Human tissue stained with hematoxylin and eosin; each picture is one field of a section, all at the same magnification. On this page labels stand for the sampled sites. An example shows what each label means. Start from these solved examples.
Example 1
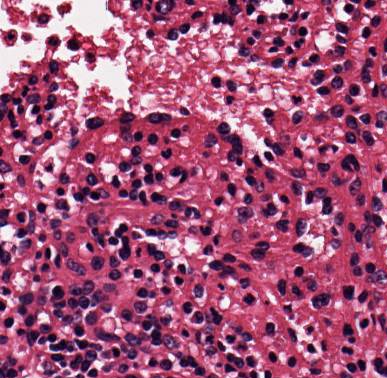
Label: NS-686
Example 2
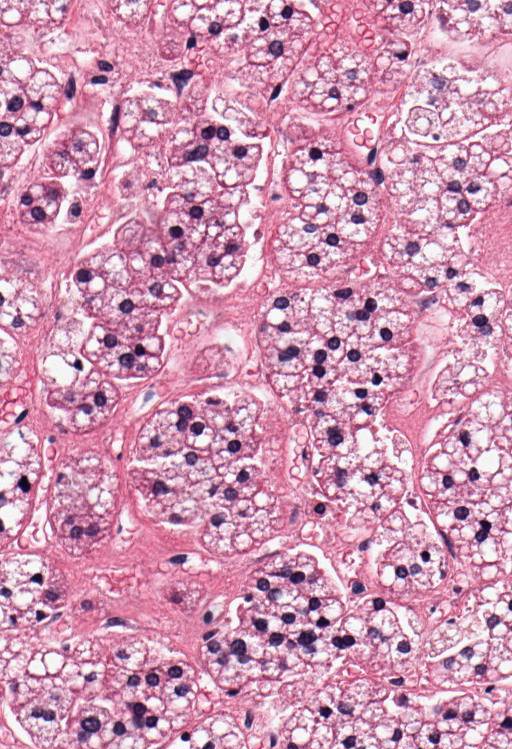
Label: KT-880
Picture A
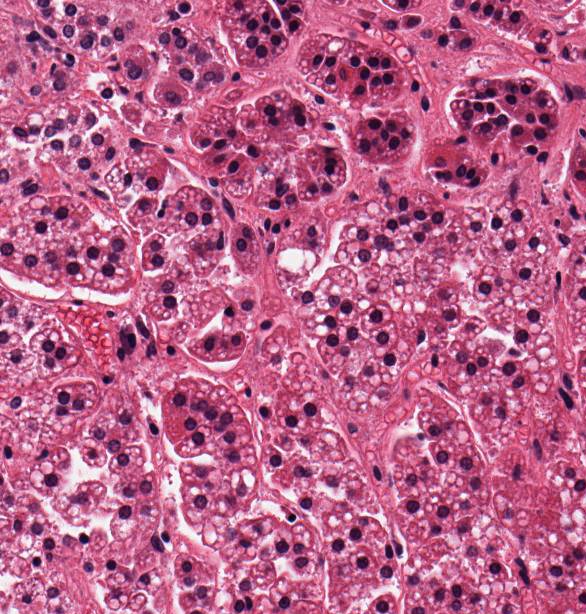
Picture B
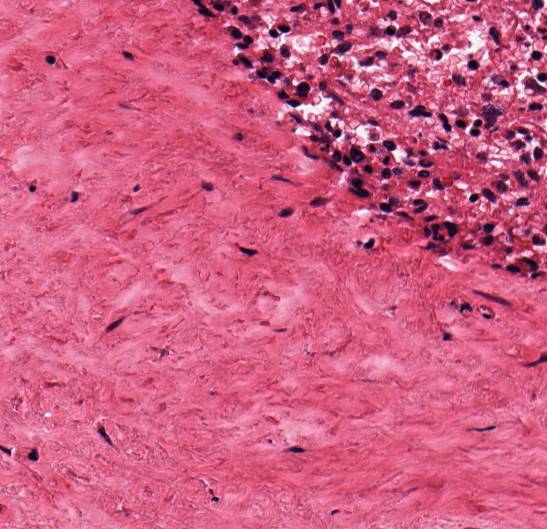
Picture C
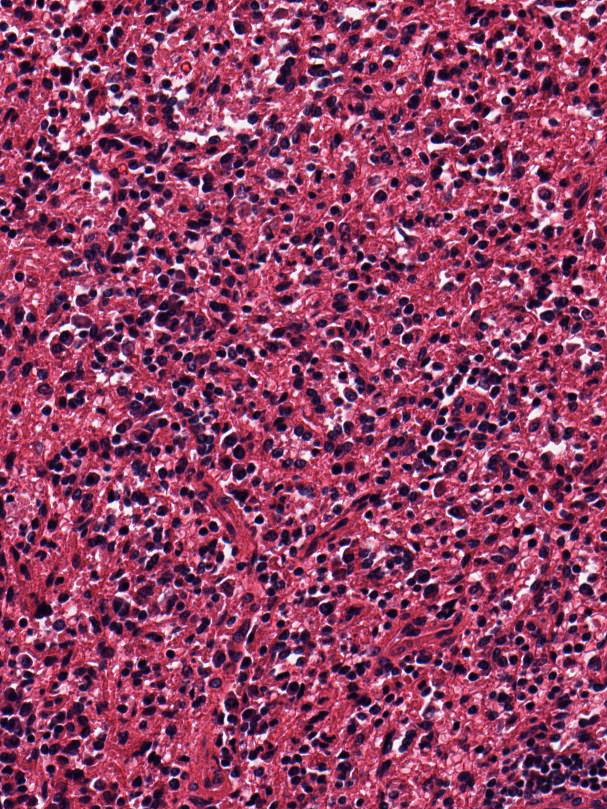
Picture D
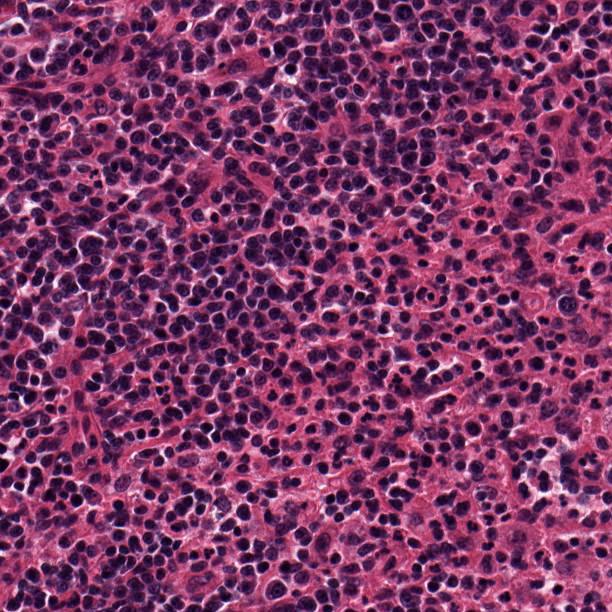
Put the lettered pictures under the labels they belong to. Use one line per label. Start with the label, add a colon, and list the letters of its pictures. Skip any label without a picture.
NS-686: B, C, D
KT-880: A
